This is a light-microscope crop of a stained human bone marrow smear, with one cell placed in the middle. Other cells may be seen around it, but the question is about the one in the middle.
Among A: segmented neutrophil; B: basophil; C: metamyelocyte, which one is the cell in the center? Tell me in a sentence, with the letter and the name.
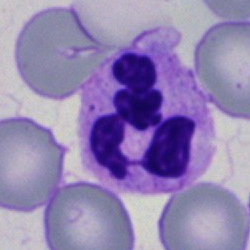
Of the options given, A is correct, the central cell being a segmented neutrophil.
